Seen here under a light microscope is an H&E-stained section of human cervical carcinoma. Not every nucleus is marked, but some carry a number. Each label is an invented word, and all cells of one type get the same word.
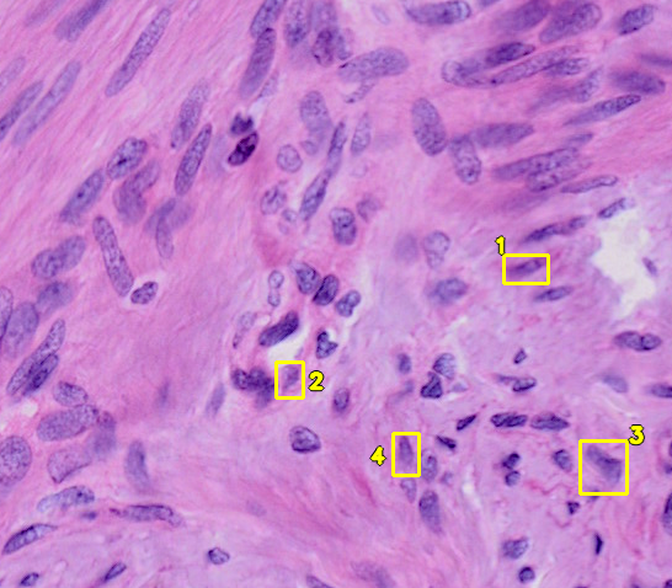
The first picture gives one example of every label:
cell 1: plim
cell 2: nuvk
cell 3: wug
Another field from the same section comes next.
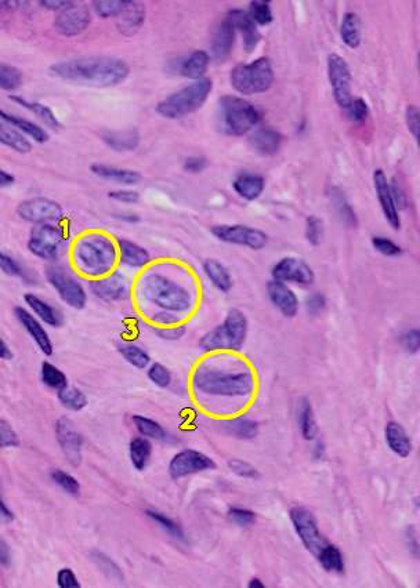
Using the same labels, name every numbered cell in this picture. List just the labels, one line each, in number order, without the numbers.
nuvk
wug
nuvk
